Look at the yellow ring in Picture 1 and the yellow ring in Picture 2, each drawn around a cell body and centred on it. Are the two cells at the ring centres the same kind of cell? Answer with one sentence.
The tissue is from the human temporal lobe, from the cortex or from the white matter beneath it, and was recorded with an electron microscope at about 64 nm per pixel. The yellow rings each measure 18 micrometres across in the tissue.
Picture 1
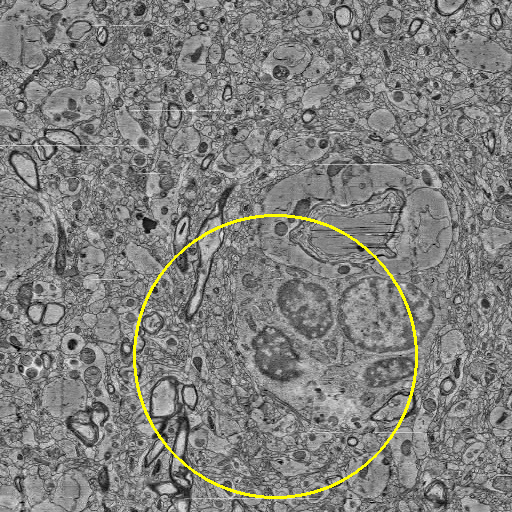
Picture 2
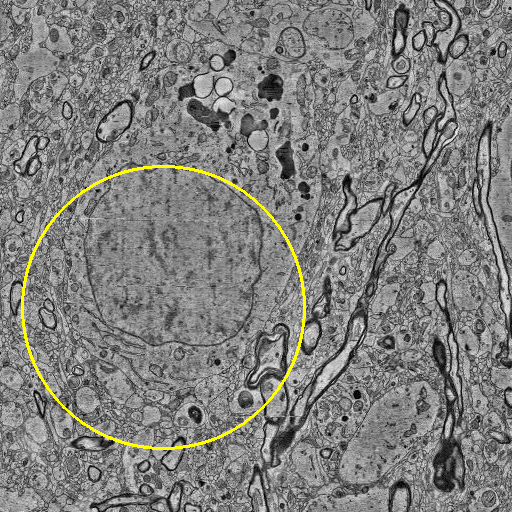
No, they are cells of two kinds.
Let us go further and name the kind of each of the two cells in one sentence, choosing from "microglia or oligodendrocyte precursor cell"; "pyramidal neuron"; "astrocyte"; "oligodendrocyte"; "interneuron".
The ring of the first picture is on an oligodendrocyte, the ring of the second on a pyramidal neuron.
